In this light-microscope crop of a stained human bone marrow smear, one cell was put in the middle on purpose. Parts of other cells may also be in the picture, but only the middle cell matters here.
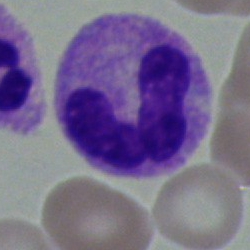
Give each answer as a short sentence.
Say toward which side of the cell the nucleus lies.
Toward the bottom of the cell lies its nucleus.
